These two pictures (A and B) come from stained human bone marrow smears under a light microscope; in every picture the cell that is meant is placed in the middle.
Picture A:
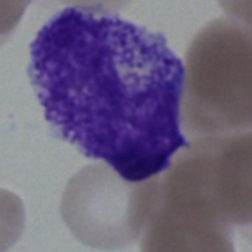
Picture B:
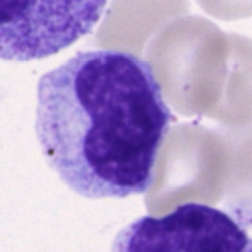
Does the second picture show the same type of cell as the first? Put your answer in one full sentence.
Yes, both cells are metamyelocytes.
